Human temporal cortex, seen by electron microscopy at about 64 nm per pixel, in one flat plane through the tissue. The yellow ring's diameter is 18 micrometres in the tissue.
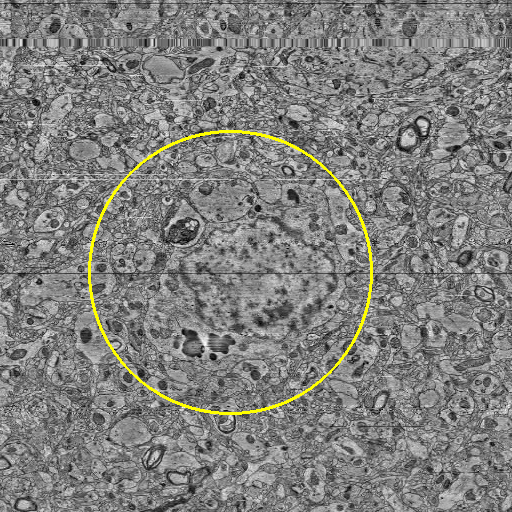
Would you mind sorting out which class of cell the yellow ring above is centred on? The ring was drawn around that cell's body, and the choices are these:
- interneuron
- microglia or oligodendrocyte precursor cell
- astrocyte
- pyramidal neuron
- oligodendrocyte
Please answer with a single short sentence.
This is the cell body of an interneuron.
